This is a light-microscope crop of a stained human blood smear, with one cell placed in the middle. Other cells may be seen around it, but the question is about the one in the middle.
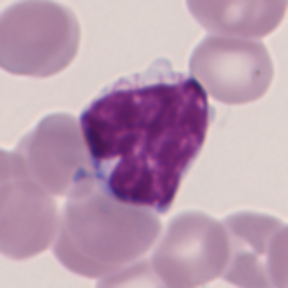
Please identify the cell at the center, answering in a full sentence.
In this smear crop, the middle cell is a large granular lymphocyte.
